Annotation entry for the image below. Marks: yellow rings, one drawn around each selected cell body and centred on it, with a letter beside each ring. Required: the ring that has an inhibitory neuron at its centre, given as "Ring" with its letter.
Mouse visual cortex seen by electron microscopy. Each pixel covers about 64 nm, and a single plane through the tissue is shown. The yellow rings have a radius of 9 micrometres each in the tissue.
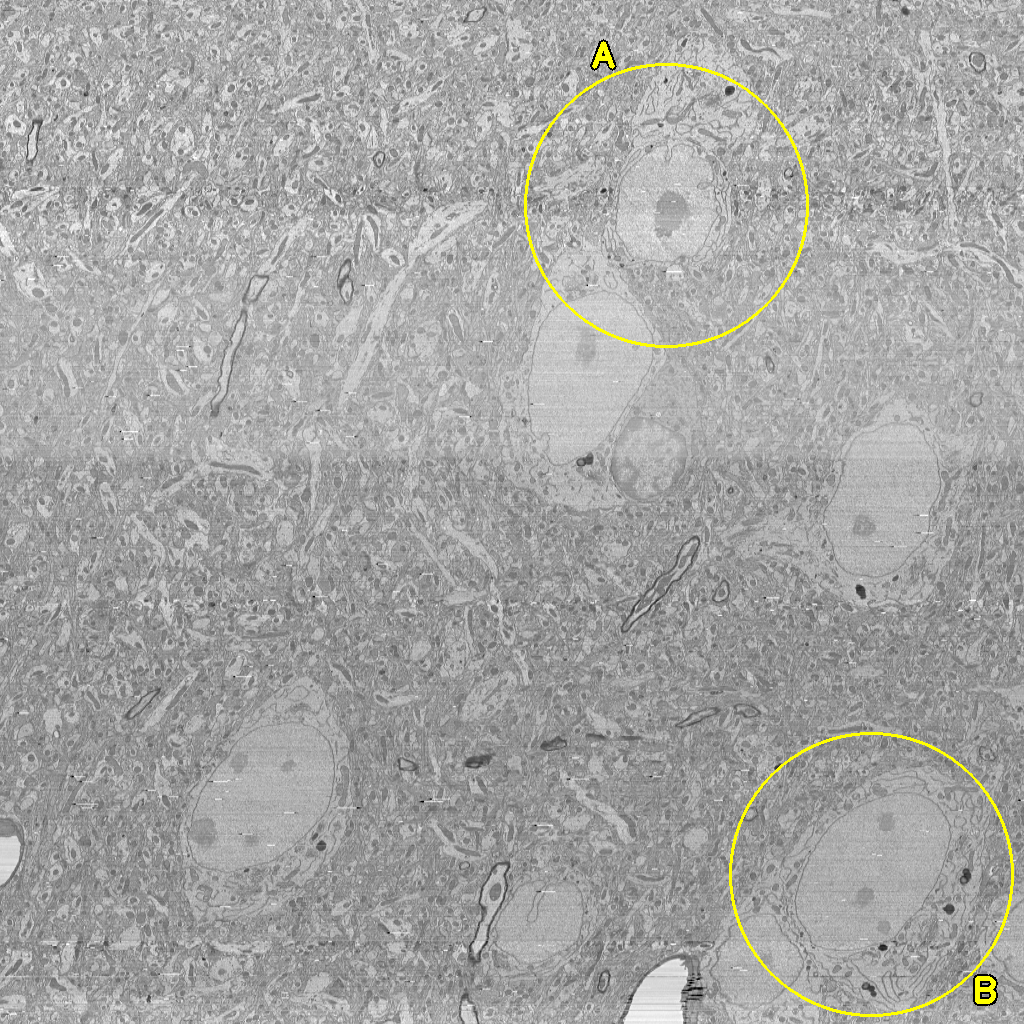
Ring A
